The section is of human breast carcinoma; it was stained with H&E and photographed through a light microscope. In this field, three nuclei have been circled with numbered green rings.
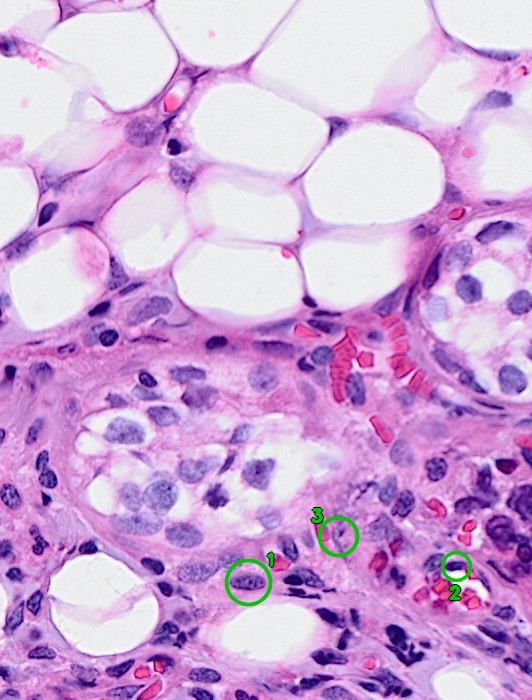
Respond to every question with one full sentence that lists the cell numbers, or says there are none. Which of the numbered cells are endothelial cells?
The cells labelled 2 and 3 in this section are endothelial cells.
